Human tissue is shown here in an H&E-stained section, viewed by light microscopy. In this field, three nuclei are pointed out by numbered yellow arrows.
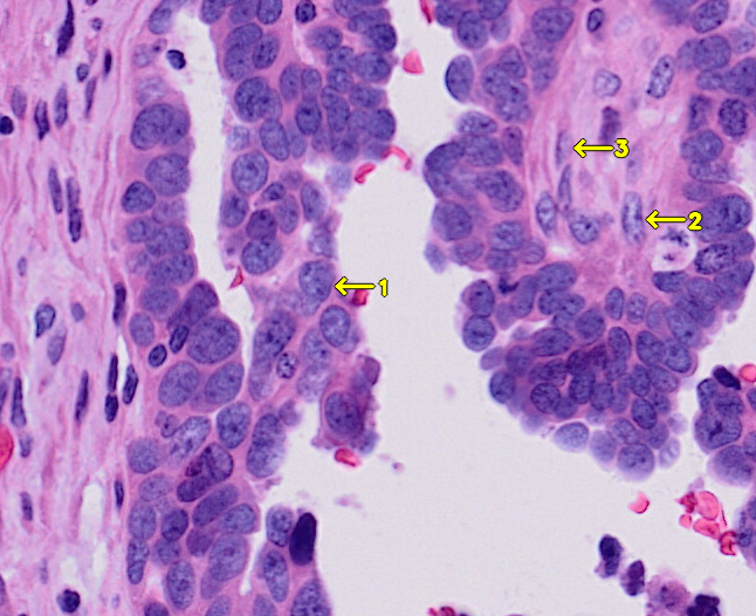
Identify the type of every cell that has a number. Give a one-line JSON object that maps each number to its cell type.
{"1": "carcinoma cell", "2": "fibroblast", "3": "fibroblast"}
